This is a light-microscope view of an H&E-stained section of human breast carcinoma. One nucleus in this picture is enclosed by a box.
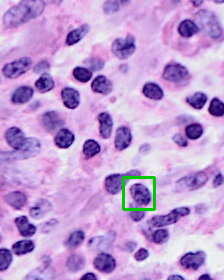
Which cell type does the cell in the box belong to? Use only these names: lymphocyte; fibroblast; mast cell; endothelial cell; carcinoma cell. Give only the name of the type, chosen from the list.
lymphocyte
